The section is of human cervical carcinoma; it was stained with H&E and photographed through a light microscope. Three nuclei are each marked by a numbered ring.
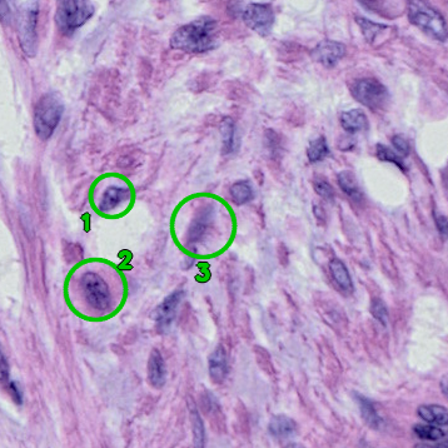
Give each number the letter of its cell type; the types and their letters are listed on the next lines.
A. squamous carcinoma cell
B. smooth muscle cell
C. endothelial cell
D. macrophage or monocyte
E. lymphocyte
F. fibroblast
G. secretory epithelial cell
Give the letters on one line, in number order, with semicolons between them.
F; D; F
